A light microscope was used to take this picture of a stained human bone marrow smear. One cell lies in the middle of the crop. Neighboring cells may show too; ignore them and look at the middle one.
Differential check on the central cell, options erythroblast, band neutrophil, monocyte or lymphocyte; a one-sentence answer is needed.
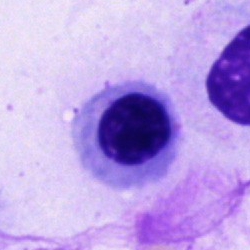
Seen at the centre of the crop is an erythroblast.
